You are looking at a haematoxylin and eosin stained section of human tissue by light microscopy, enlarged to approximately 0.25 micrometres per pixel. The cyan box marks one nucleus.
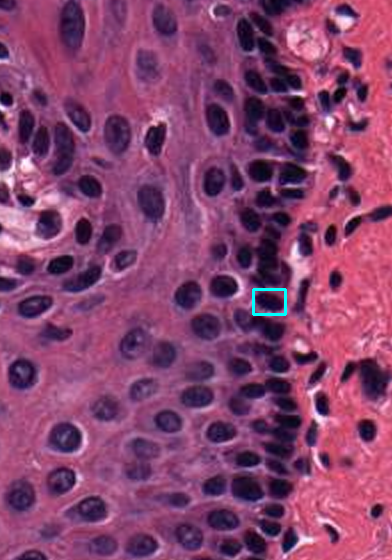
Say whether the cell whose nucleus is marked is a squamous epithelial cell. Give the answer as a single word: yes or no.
yes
